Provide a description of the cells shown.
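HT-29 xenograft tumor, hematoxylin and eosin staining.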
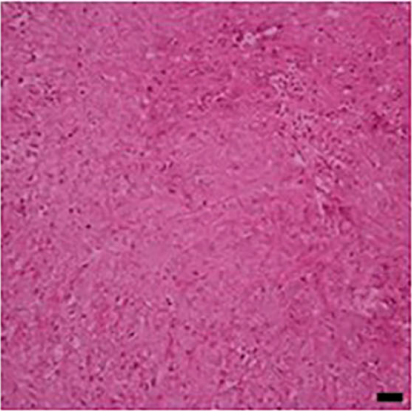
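The whole field is filled with pink tissue of fairly uniform texture, with dark nuclei scattered across it and a few small clusters of nuclei here and there. There is no clearly bounded island of stroma and no distinct gland-like pattern to pick out; the architecture looks blurred and homogeneous rather than divided into separate compartments, and a few small pale spaces lie scattered through the tissue.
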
